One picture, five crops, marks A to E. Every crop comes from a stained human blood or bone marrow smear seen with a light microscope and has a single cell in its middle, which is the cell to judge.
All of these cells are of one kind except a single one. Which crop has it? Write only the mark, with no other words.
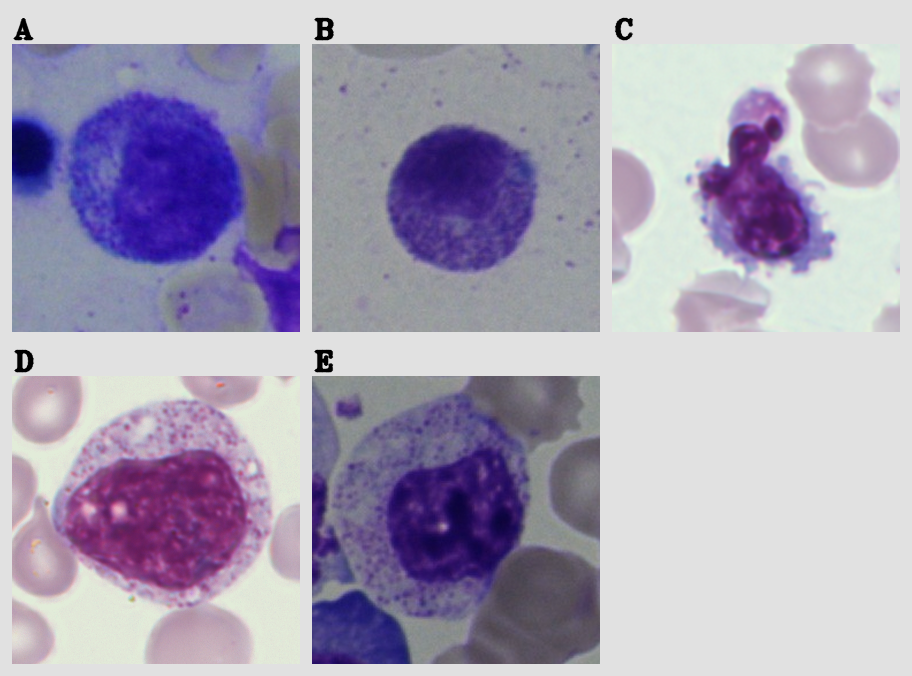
C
